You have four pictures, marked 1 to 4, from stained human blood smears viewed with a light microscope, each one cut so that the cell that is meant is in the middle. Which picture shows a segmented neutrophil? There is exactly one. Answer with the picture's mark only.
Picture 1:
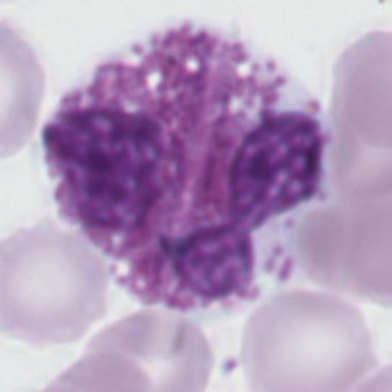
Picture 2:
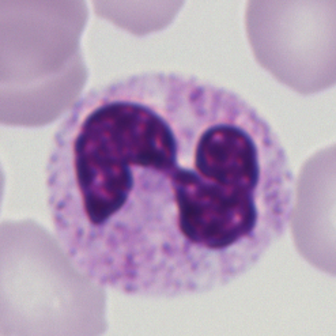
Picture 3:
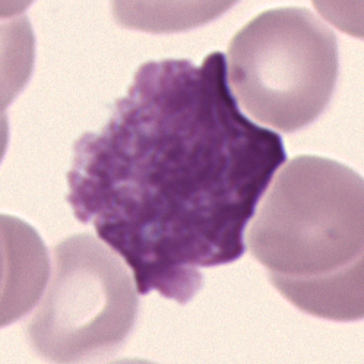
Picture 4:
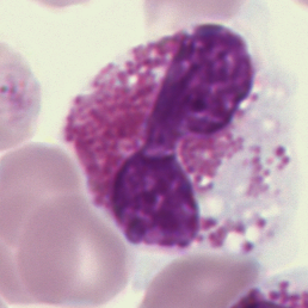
2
